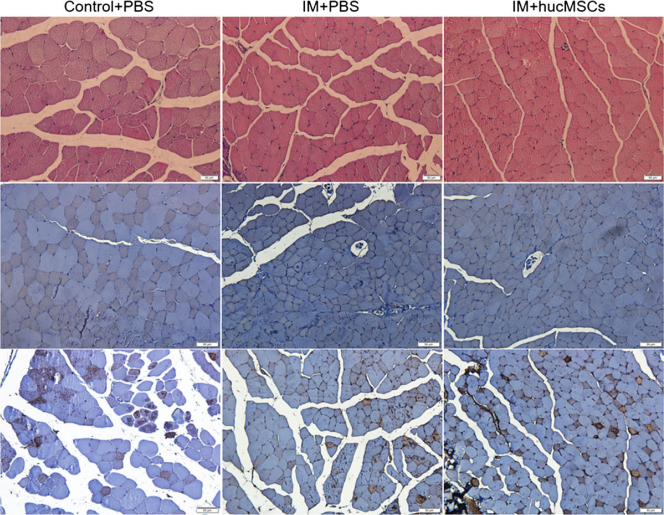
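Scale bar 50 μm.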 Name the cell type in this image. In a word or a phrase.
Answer: Muscle fibres.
